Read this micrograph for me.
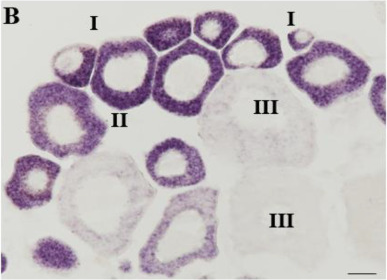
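This is a section of ovary filled with oocytes at different stages of growth. The smaller oocytes have a thick ring of cytoplasm stained deep purple around a pale round nucleus. The largest oocytes are much bigger and only faintly stained, appearing pale grey. The oocytes lie closely packed, the small stained ones along the edge and between the large pale ones.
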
